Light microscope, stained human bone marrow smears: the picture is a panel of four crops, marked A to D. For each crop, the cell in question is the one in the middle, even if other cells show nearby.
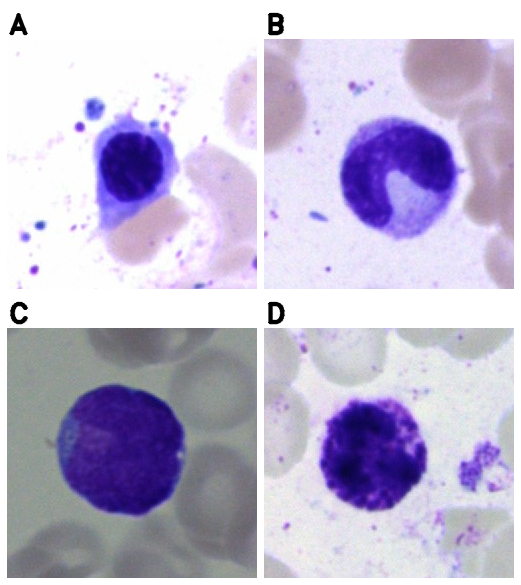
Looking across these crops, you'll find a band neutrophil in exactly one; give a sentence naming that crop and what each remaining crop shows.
It is crop B that shows a band neutrophil, while crop A is an erythroblast, crop C is a blast and crop D is a basophil.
